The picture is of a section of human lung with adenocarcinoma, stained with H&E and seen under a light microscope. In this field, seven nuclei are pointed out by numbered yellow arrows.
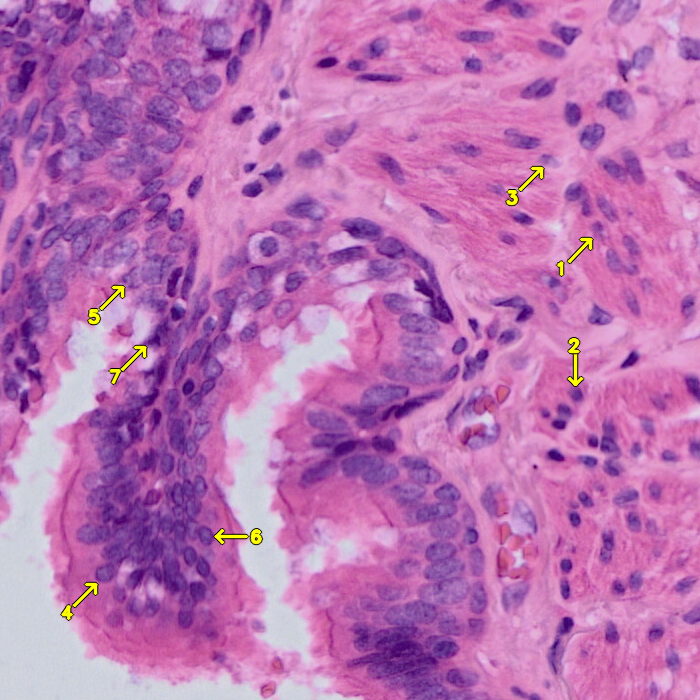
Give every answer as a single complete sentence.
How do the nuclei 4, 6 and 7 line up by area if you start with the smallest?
The order from the smallest nucleus to the largest is 6, 4, 7.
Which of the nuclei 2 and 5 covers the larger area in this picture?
Nucleus 5 is larger, with an area about 2 times that of nucleus 2.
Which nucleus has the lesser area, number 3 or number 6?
Number 3 is smaller, since number 6 takes up about 1.5 times as much area.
